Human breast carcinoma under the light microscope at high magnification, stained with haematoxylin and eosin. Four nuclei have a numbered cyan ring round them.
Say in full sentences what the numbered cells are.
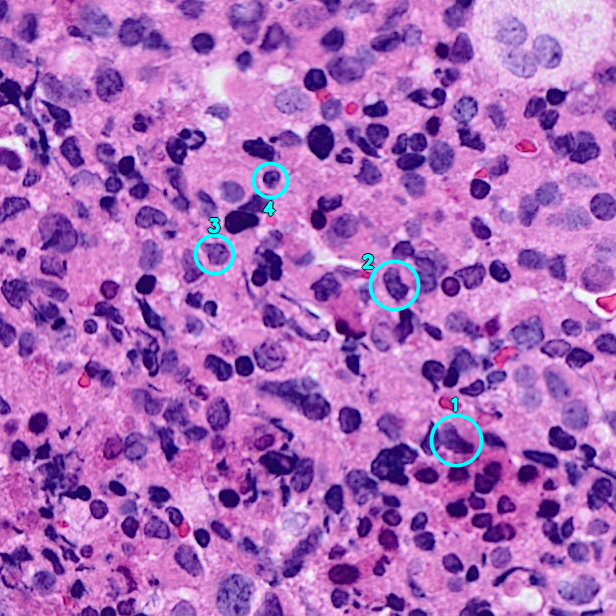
Cell 1 is a carcinoma cell, cell 2 is a carcinoma cell, cell 3 is a carcinoma cell and cell 4 is a lymphocyte.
